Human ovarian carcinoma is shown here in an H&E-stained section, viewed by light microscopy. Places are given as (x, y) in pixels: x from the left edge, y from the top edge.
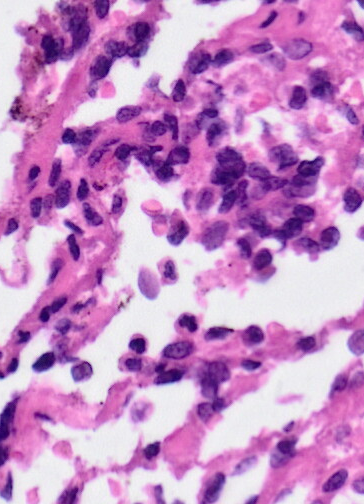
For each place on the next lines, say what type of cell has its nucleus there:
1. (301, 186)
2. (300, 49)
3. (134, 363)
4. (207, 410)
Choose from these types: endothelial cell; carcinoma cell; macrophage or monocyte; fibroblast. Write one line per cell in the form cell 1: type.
cell 1: carcinoma cell
cell 2: endothelial cell
cell 3: macrophage or monocyte
cell 4: macrophage or monocyte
